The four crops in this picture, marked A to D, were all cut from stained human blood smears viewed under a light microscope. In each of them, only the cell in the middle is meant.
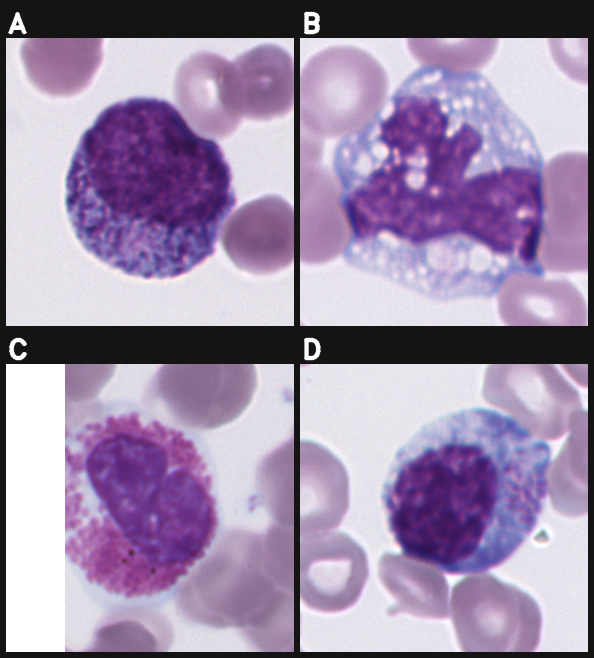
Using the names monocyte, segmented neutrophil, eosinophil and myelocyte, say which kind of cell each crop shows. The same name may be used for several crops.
A: myelocyte
B: monocyte
C: eosinophil
D: myelocyte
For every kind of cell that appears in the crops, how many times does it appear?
myelocyte: 2
monocyte: 1
eosinophil: 1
